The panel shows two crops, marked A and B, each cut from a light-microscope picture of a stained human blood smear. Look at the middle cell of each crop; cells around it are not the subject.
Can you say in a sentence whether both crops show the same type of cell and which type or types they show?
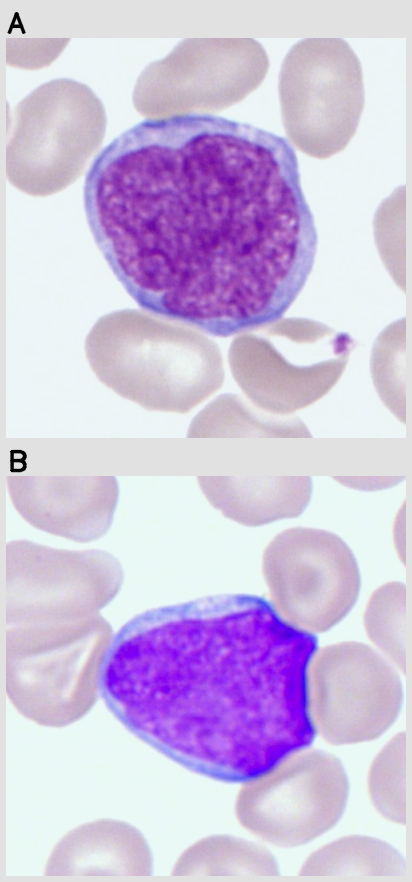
Yes, the two cells in the two crops are myeloblasts.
